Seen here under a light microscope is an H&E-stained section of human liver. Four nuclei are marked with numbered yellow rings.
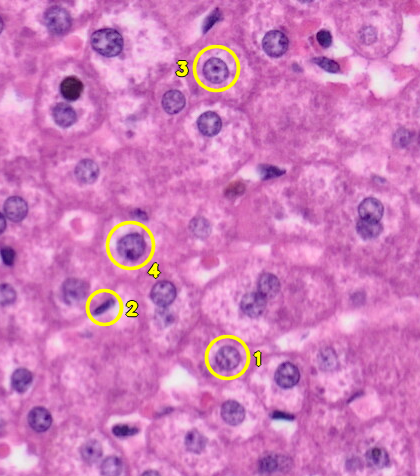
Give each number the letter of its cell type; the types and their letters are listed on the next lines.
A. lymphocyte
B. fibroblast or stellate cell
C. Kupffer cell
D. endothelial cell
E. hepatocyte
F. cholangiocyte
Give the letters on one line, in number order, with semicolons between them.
E; D; E; E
